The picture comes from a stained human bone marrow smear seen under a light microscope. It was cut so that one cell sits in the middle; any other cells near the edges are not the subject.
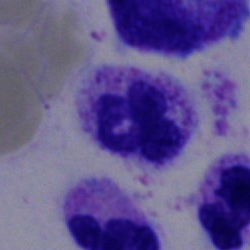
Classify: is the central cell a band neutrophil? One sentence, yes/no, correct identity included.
No, the central cell is counted as a segmented neutrophil instead of a band neutrophil.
